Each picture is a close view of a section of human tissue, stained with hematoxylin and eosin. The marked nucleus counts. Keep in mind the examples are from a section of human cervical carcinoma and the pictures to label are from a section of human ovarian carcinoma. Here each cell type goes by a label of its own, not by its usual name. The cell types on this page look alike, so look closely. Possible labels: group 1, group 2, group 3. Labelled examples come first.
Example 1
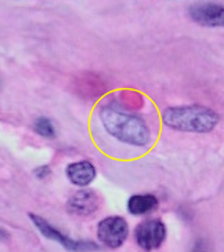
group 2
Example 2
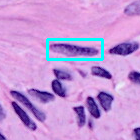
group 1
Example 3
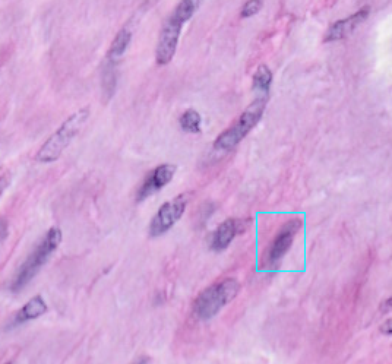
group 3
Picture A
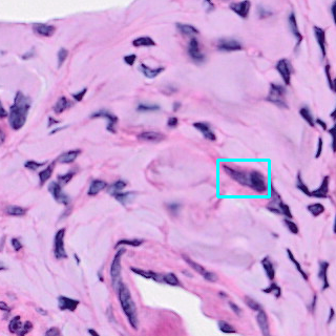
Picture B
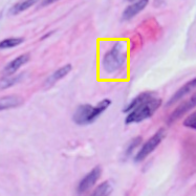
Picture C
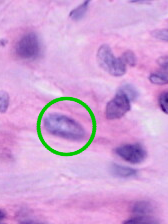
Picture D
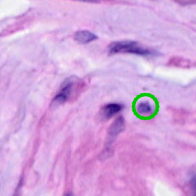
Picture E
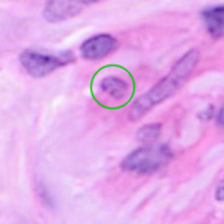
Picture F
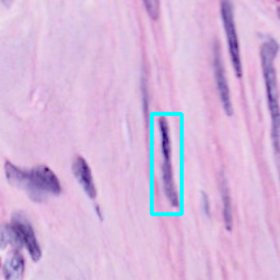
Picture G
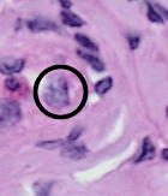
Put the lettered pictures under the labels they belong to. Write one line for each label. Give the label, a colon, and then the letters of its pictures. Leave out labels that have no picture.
group 2: A, B, C, G
group 3: D, E, F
